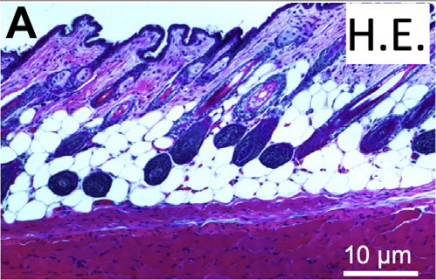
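Skin in section with a subcutaneous adipose layer, stained pink and purple. Beneath the dermis, large round to polygonal fat cells with empty white interiors and thin pink rims form a continuous layer. Dark purple hair follicles run obliquely through the dermis and down into the fat. Below the fat lies a band of pink skeletal muscle.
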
